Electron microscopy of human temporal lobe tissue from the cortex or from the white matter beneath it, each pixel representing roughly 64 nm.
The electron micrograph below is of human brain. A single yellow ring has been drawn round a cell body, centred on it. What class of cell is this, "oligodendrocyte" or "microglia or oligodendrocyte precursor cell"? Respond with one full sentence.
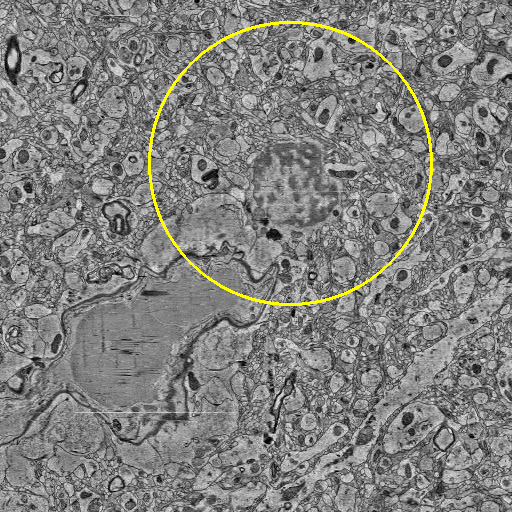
In the micrograph, the cell centred inside the yellow ring is an oligodendrocyte.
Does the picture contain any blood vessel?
Yes, one shows.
